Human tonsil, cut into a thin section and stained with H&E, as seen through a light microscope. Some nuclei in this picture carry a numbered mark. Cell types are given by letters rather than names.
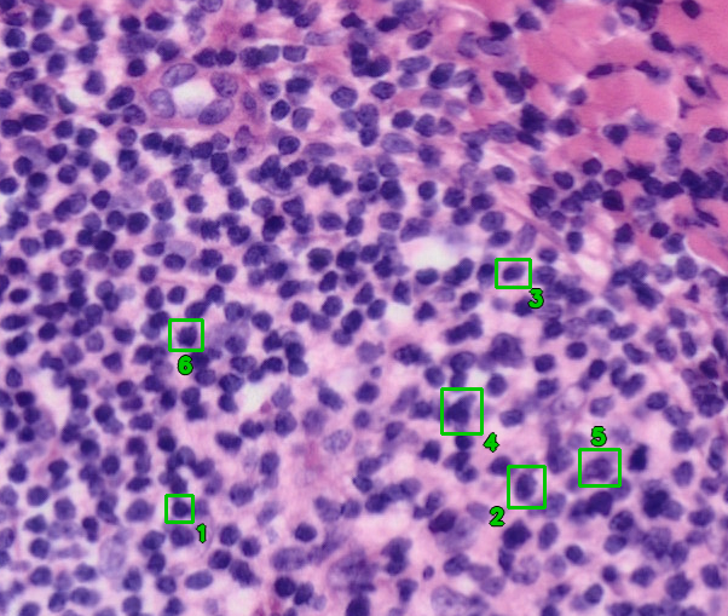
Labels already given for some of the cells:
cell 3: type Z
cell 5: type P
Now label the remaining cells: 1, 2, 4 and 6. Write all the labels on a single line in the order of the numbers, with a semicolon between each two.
type Z; type P; type P; type Z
